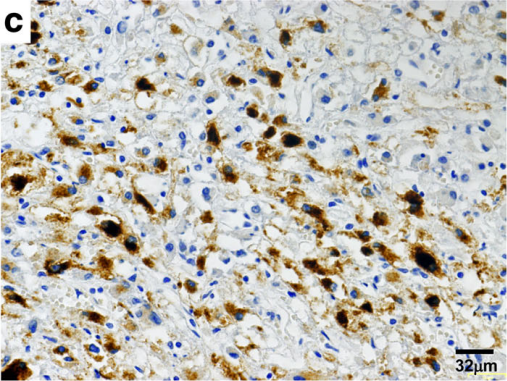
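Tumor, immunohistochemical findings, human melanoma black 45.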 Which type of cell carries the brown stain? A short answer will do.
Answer: Epithelioid spindle cells.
